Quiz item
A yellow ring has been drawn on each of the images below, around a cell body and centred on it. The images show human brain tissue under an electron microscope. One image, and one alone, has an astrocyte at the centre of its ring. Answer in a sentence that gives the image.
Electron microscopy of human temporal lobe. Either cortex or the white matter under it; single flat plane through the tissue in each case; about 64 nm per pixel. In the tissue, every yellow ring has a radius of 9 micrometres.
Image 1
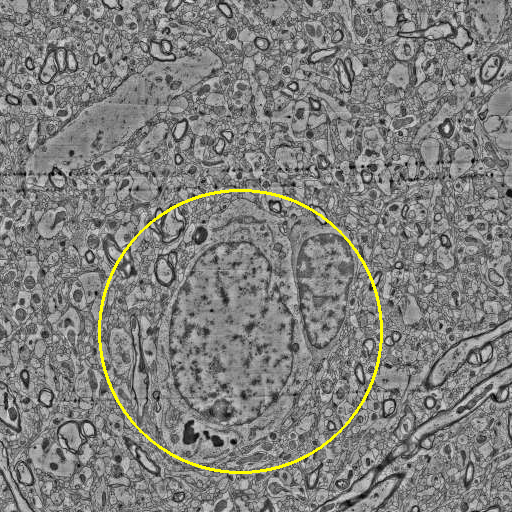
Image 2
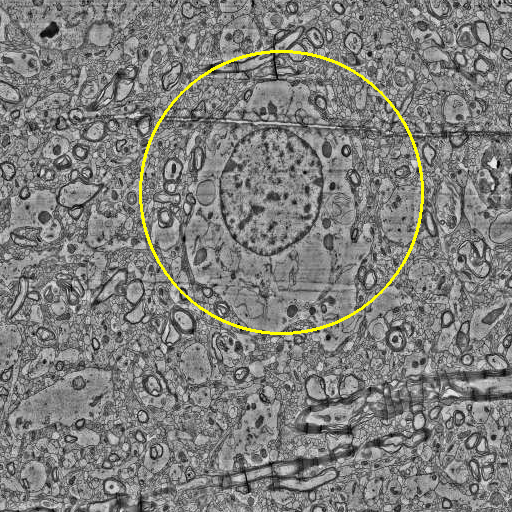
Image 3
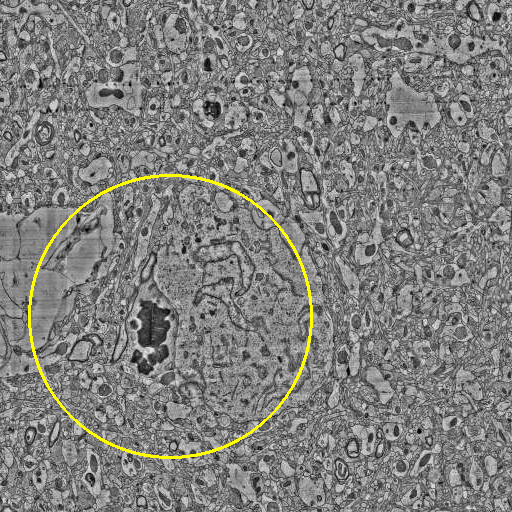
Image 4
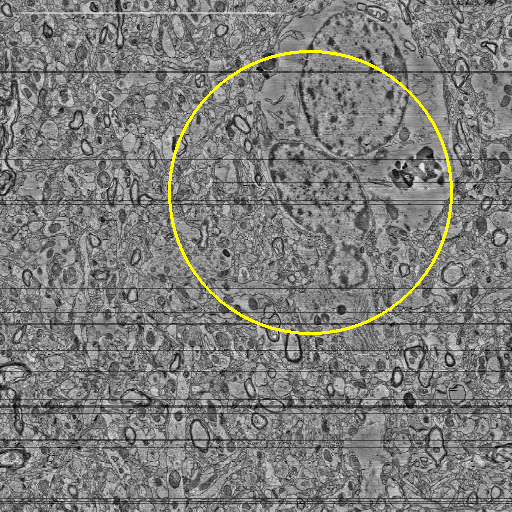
Image 2 shows it at the centre of the ring.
